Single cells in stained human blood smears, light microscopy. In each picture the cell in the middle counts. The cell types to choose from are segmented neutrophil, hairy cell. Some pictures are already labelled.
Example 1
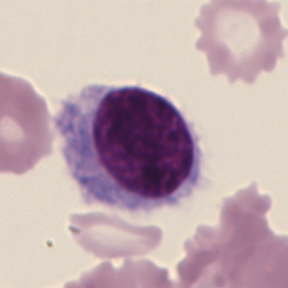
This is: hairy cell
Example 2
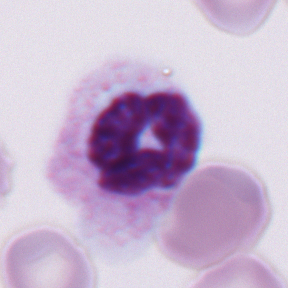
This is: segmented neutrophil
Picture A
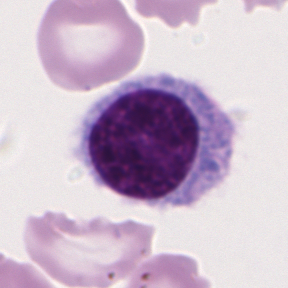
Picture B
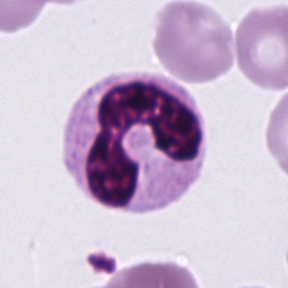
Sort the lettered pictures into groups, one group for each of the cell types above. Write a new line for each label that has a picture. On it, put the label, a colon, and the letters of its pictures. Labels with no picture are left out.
segmented neutrophil: B
hairy cell: A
